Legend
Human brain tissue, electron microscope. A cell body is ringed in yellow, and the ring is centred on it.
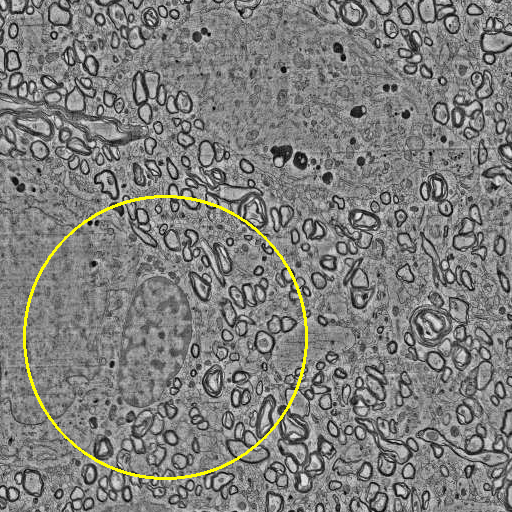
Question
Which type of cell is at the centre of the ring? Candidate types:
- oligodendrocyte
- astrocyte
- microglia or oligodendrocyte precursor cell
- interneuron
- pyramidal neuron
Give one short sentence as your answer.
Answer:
The yellow ring is centred here on a microglial cell or oligodendrocyte precursor cell.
